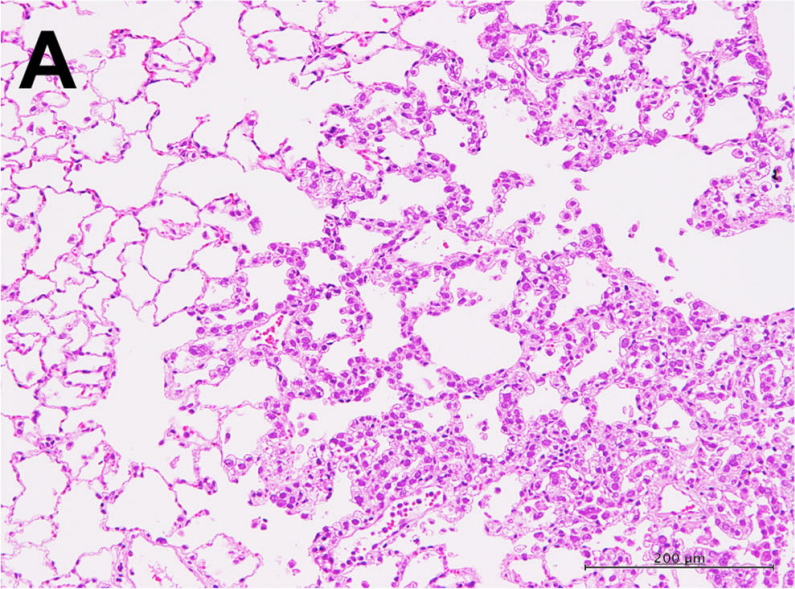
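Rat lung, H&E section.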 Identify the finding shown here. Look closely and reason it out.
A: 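On the right, alveolar walls are lined by many plump, closely set cells. On the left, alveolar walls are thin with few cells.
Hence: alveolar cell hyperplasia.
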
